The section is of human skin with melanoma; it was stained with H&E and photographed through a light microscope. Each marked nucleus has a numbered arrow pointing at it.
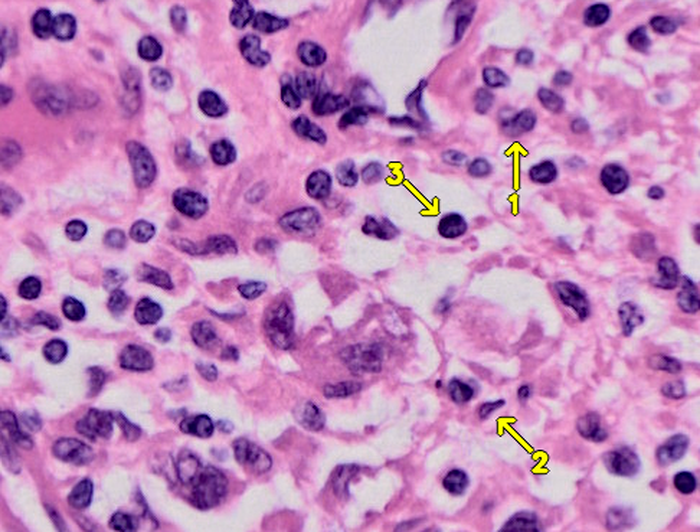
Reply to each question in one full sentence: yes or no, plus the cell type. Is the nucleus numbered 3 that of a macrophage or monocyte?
No, number 3 is assigned to a lymphocyte, not to a macrophage or monocyte.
